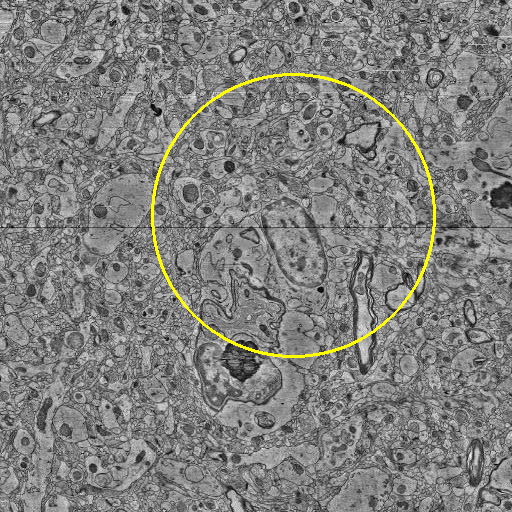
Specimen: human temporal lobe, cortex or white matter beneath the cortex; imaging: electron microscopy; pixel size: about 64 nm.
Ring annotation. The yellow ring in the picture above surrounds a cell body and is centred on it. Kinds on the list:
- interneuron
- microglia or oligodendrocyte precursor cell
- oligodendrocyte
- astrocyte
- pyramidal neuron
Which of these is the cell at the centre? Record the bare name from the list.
microglia or oligodendrocyte precursor cell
